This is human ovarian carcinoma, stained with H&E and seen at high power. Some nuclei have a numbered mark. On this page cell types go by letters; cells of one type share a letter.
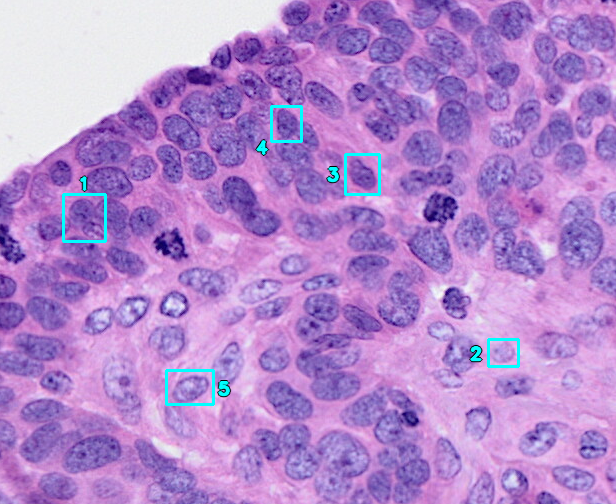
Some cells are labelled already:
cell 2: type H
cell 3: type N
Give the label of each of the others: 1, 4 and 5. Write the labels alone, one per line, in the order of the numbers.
type N
type N
type H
